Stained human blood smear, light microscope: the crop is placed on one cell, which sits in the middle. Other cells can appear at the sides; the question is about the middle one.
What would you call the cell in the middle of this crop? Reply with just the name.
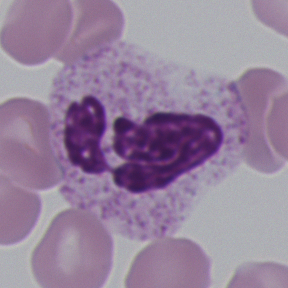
segmented neutrophil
